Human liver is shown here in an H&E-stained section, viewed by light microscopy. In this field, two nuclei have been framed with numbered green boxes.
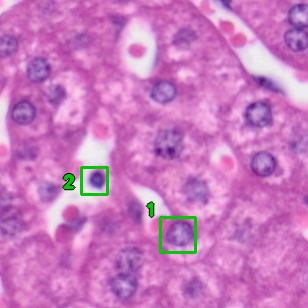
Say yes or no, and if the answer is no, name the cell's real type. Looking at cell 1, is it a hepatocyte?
Yes.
